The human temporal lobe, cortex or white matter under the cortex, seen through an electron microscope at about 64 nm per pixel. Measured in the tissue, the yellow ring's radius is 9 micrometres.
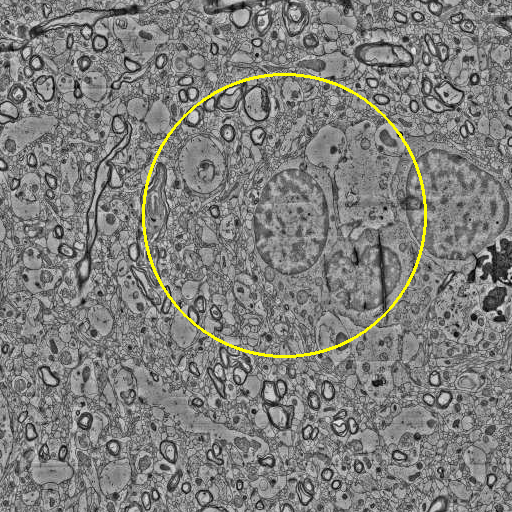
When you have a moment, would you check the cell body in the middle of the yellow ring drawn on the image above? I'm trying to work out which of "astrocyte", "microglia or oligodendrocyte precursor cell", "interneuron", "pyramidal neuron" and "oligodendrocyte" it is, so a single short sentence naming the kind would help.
This cell body belongs to an oligodendrocyte.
